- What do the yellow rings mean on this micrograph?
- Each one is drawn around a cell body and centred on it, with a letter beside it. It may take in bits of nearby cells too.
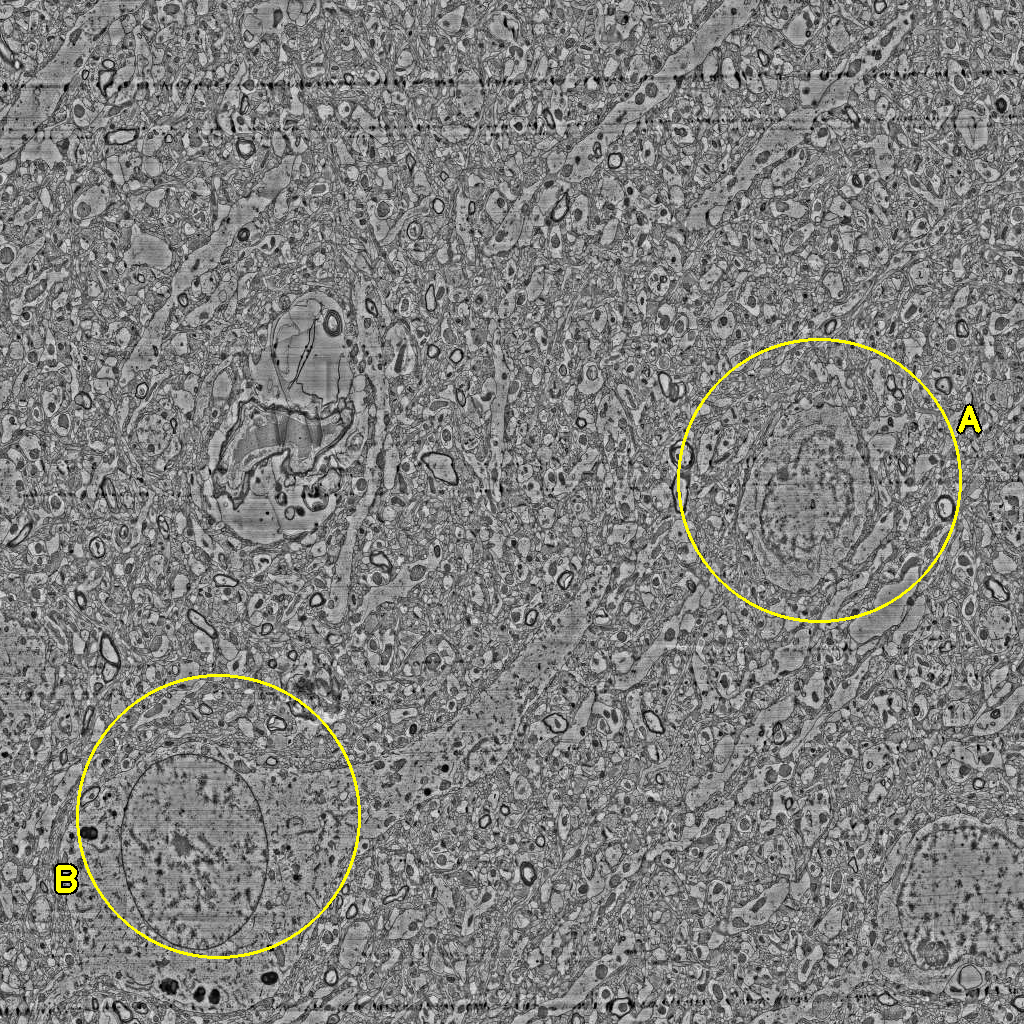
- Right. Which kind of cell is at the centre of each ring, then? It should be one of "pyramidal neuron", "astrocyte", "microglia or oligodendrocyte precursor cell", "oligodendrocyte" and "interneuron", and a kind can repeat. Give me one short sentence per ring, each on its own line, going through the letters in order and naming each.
Ring A circles the cell body of an interneuron.
Ring B circles the cell body of a pyramidal neuron.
